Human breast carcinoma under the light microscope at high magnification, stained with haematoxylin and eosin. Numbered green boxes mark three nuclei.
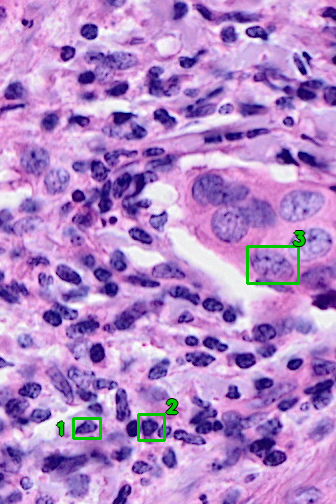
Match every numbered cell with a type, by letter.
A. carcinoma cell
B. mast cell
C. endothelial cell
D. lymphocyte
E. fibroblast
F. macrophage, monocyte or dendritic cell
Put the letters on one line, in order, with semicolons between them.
D; D; A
